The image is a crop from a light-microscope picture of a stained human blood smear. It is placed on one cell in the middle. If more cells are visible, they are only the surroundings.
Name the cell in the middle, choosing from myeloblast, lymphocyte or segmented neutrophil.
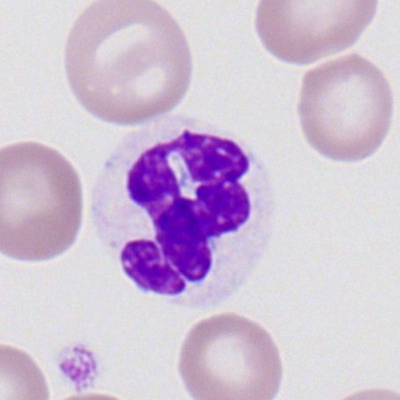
segmented neutrophil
